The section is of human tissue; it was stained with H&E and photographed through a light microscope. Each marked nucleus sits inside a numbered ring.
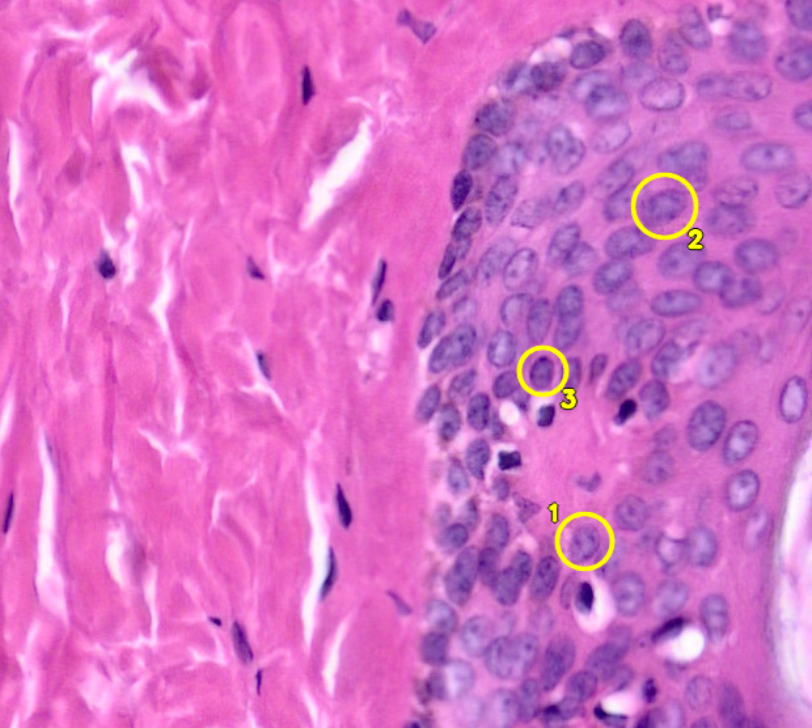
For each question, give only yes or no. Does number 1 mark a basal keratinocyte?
yes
